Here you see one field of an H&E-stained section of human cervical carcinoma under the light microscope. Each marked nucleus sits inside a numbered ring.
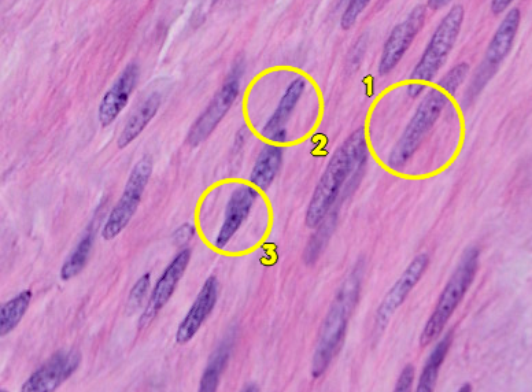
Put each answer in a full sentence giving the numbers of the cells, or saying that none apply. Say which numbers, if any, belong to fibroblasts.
The cells assigned the numbers 2 and 3 are fibroblasts.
